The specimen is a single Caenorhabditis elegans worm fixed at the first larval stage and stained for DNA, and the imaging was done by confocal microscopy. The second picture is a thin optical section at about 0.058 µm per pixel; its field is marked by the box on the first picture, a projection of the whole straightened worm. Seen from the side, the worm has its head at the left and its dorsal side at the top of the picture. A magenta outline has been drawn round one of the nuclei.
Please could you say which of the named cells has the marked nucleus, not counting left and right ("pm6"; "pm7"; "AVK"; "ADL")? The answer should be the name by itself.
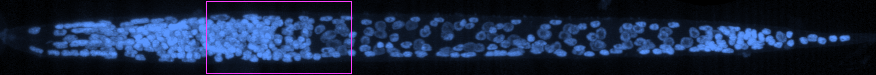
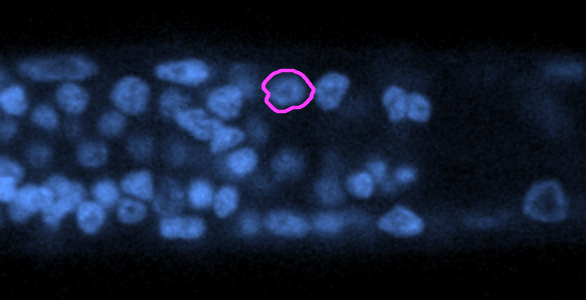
pm6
